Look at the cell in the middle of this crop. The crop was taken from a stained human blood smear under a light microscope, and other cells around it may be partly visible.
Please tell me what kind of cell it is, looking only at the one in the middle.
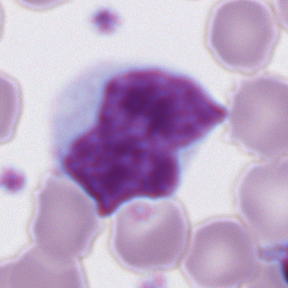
lymphocyte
